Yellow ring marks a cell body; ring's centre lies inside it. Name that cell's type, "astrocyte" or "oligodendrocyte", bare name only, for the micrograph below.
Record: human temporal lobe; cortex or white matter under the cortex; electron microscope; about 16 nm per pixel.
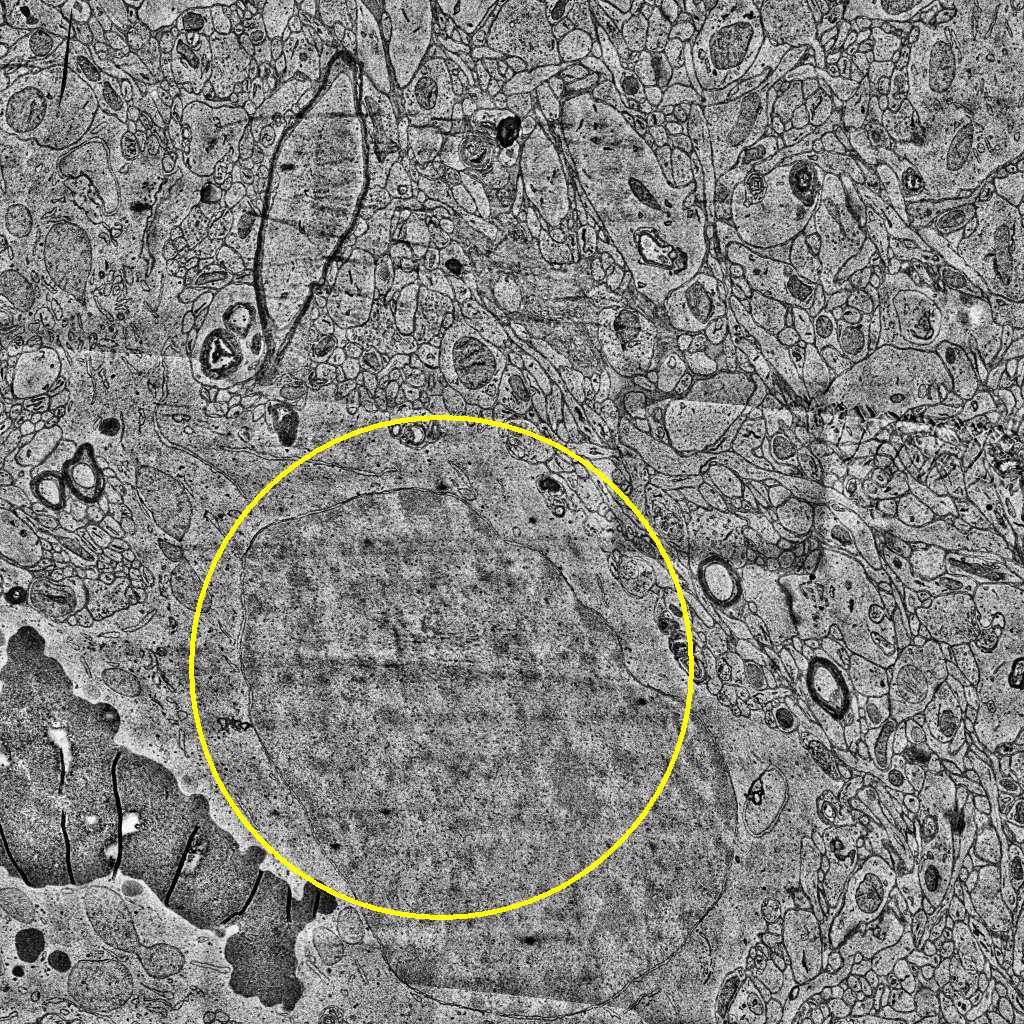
astrocyte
